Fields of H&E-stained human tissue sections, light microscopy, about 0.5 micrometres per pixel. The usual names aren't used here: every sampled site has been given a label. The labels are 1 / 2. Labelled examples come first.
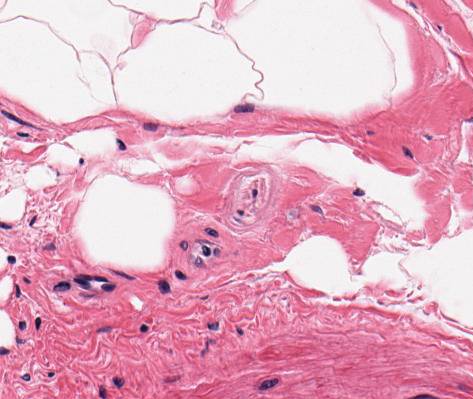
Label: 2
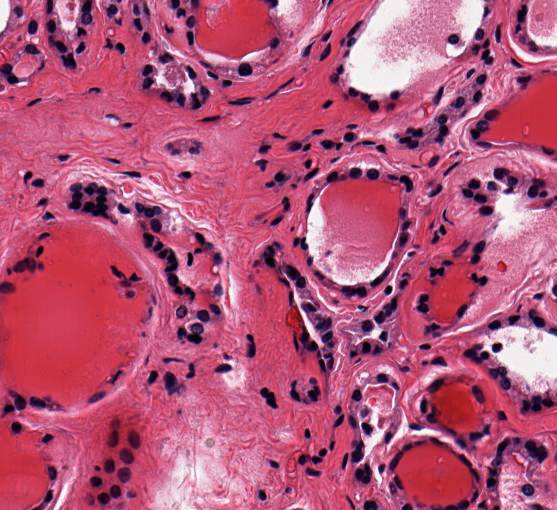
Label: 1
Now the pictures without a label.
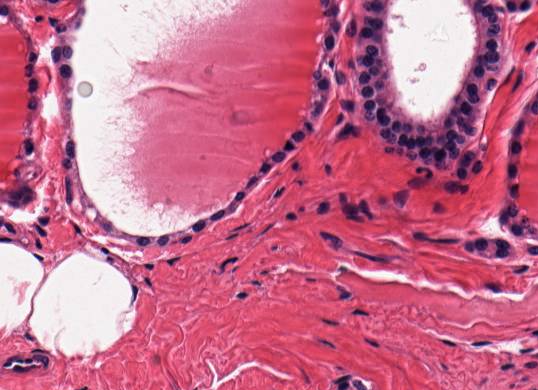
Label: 1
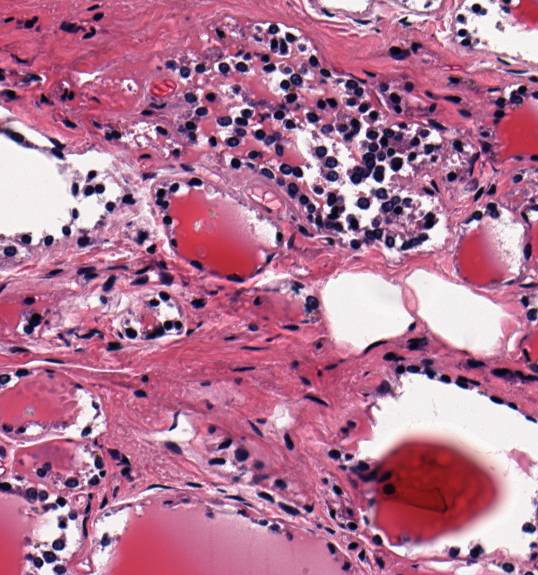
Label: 1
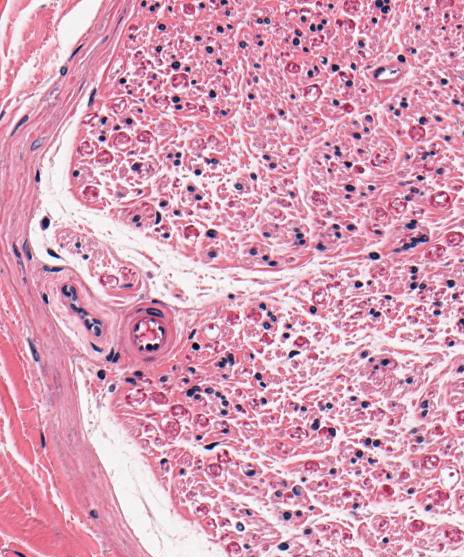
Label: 2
